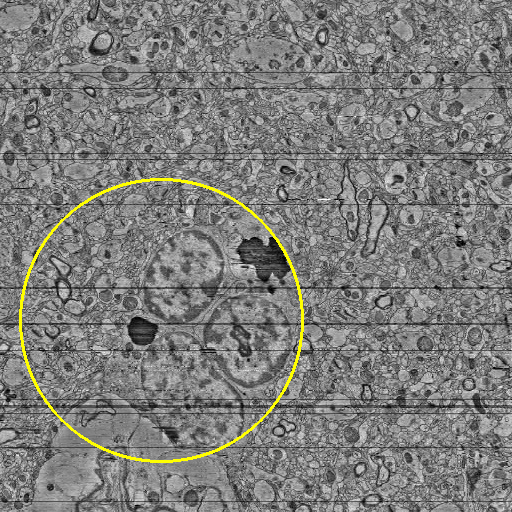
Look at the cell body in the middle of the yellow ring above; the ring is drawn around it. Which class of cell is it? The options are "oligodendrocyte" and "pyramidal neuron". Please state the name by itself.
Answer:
oligodendrocyte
